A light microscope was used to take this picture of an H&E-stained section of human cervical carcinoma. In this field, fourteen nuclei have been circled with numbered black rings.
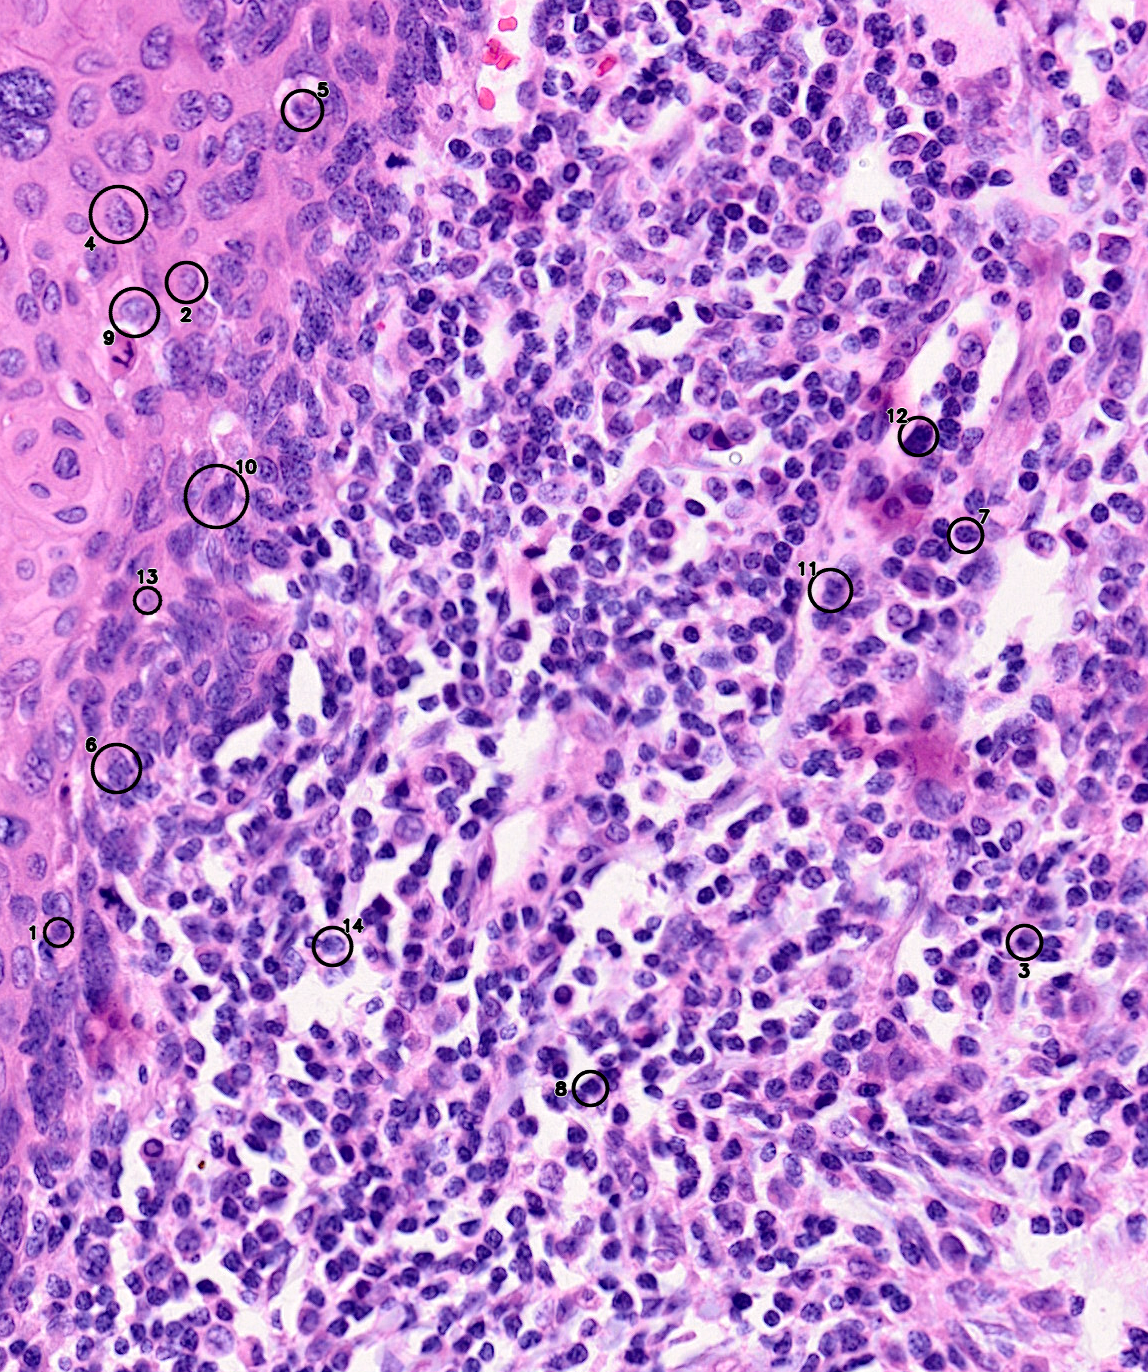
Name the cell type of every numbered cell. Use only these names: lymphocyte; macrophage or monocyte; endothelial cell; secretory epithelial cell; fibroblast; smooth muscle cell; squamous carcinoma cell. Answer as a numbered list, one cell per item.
1. squamous carcinoma cell
2. squamous carcinoma cell
3. lymphocyte
4. squamous carcinoma cell
5. squamous carcinoma cell
6. squamous carcinoma cell
7. lymphocyte
8. lymphocyte
9. squamous carcinoma cell
10. squamous carcinoma cell
11. lymphocyte
12. lymphocyte
13. squamous carcinoma cell
14. lymphocyte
